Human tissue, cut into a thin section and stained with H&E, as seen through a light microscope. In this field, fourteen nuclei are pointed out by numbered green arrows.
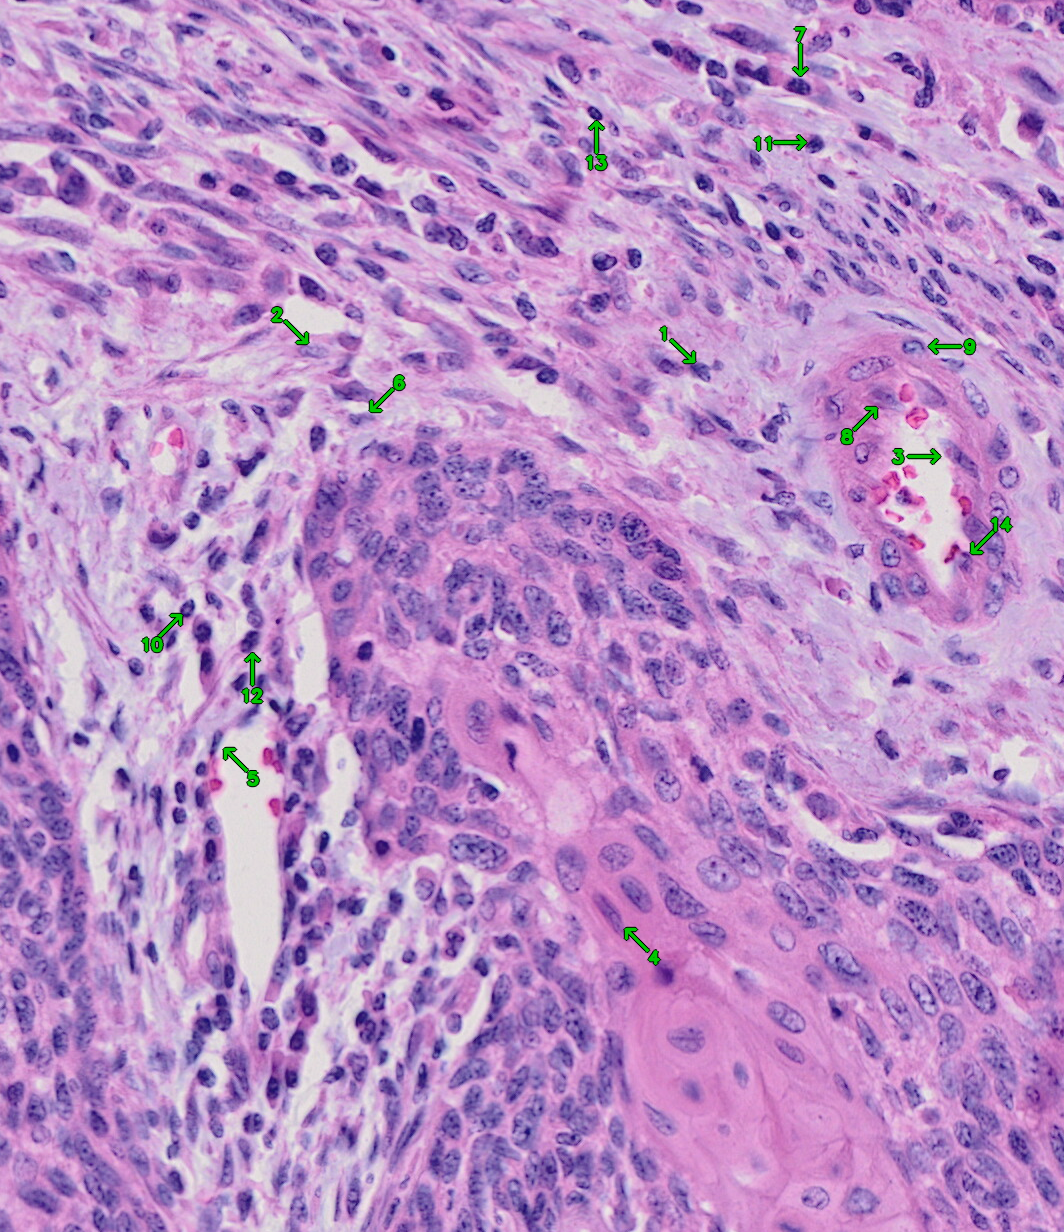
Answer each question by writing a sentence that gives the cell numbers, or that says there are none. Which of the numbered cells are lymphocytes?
The cells tagged with numbers 1, 7, 10, 11, 12 and 13 are lymphocytes.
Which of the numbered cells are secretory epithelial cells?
Among the cells marked by numbers, there are no secretory epithelial cells.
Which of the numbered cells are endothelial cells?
The cells that have numbers 3, 5, 8 and 14 are endothelial cells.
